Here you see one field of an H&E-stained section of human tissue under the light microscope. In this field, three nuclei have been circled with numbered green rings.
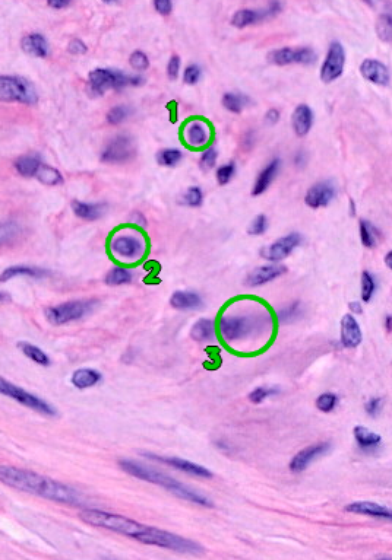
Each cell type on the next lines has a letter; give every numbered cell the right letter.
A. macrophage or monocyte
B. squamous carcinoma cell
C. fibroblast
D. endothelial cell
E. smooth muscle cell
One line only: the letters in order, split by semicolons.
E; E; C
